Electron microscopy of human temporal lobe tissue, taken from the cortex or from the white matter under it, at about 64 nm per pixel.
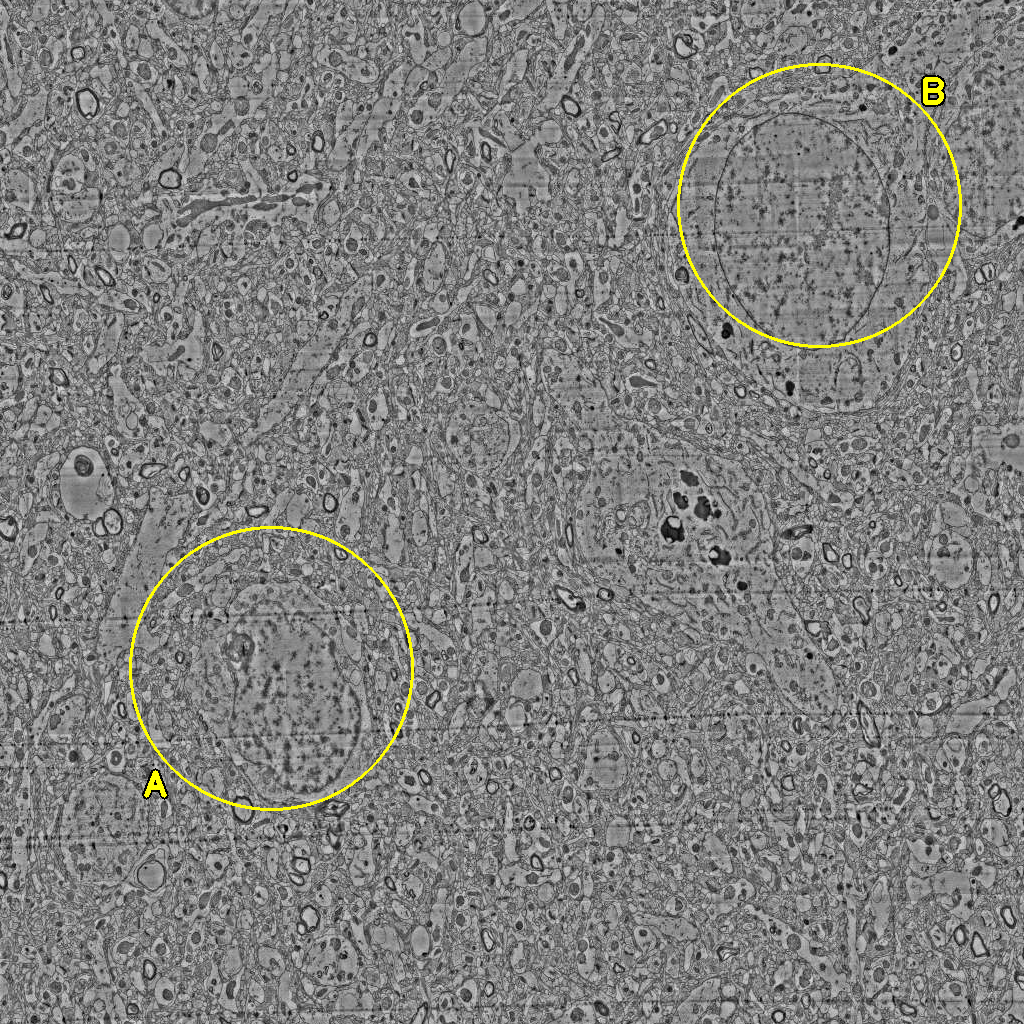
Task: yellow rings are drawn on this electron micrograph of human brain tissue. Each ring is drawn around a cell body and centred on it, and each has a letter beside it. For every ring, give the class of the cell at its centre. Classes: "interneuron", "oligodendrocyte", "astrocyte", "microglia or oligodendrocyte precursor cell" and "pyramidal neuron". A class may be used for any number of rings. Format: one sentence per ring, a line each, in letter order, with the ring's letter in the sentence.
The cell ringed as A is an interneuron.
The cell ringed as B is a pyramidal neuron.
